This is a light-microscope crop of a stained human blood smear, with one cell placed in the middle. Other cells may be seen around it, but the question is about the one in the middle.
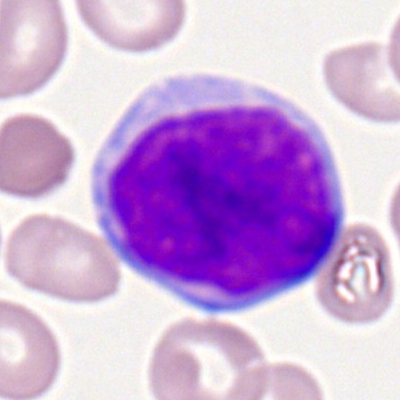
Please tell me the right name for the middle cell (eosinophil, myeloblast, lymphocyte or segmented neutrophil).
myeloblast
